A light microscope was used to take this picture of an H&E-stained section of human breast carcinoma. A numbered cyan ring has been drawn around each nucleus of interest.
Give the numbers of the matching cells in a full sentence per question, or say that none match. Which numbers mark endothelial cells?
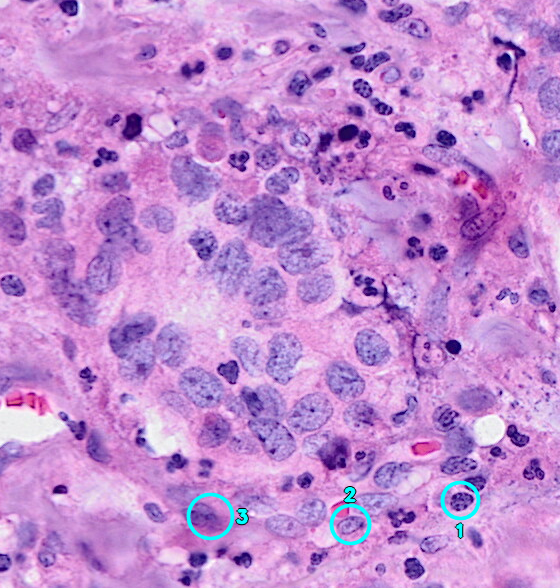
The cells carrying the numbers 2 and 3 are endothelial cells.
